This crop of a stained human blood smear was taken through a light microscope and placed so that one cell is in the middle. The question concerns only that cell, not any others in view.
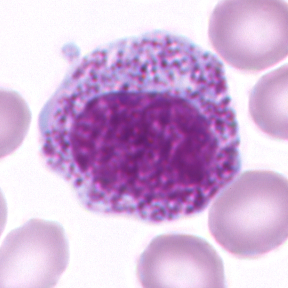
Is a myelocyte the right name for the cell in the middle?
yes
